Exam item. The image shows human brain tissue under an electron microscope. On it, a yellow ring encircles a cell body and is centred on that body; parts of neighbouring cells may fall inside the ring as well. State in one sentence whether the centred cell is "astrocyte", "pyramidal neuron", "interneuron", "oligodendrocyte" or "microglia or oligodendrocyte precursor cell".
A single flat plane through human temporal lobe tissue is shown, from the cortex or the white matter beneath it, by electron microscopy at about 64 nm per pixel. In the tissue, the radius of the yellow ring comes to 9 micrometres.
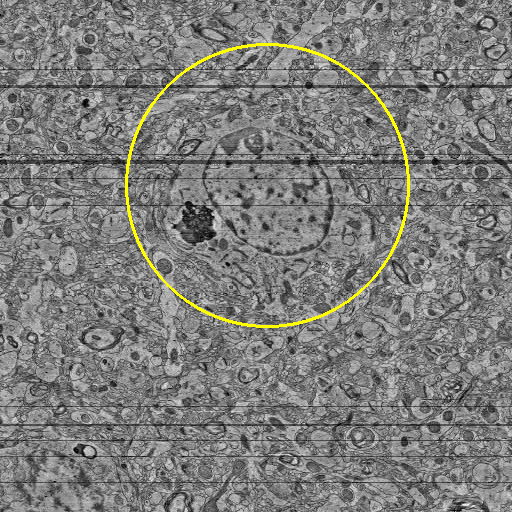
The cell body centred in the ring is an astrocyte.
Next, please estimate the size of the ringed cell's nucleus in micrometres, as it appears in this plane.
About 9 by 8 micrometers for the nucleus, in this plane.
